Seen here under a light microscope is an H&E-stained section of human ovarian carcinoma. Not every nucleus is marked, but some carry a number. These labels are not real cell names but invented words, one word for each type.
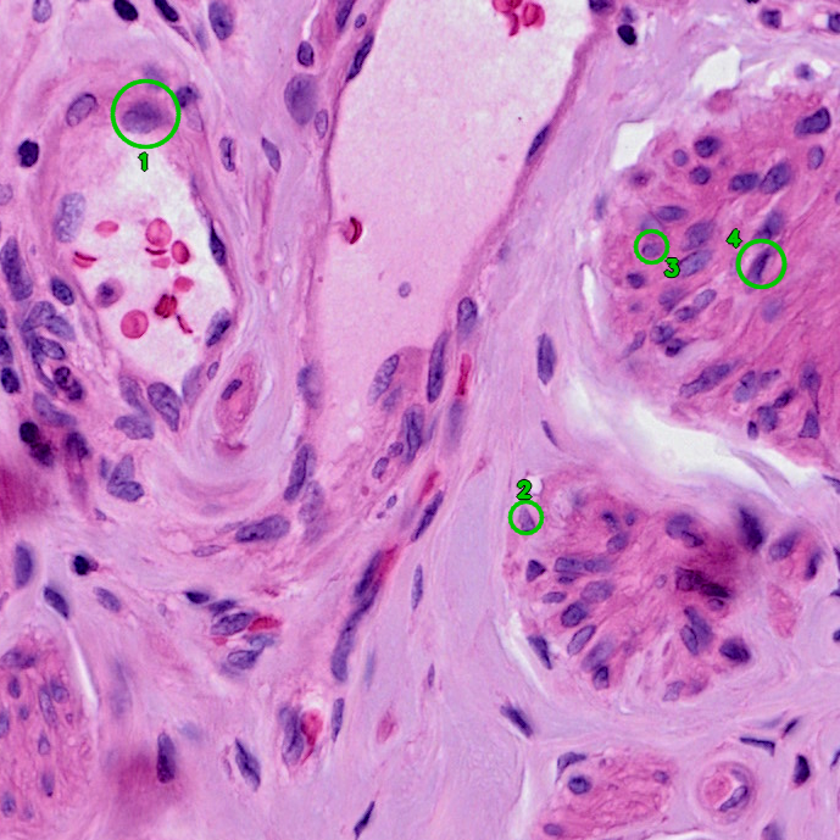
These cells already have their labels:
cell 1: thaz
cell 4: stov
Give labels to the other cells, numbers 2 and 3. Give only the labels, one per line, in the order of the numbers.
stov
stov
